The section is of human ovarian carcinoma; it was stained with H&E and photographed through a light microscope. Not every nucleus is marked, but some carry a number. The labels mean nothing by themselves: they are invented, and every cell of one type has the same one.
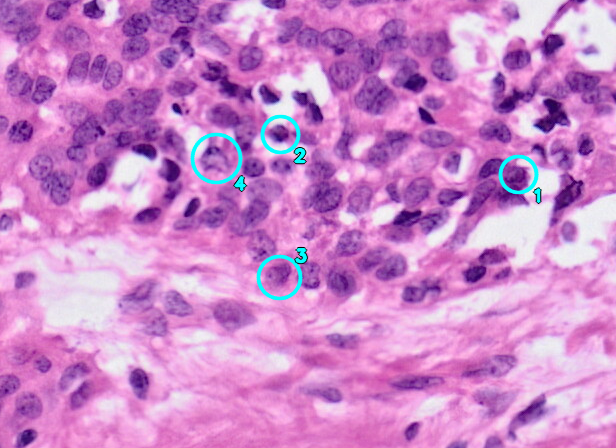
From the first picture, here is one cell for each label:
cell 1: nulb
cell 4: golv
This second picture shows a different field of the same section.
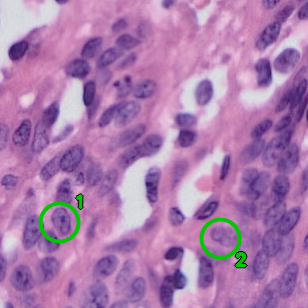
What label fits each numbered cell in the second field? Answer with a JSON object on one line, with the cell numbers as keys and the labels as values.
{"1": "golv", "2": "nulb"}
